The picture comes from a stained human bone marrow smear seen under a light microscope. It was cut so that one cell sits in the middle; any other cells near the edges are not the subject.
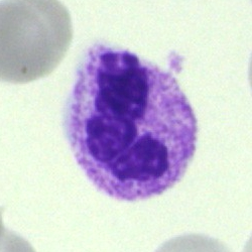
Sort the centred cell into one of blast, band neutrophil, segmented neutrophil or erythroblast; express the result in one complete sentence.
By classification, the middle cell of this crop is a segmented neutrophil.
